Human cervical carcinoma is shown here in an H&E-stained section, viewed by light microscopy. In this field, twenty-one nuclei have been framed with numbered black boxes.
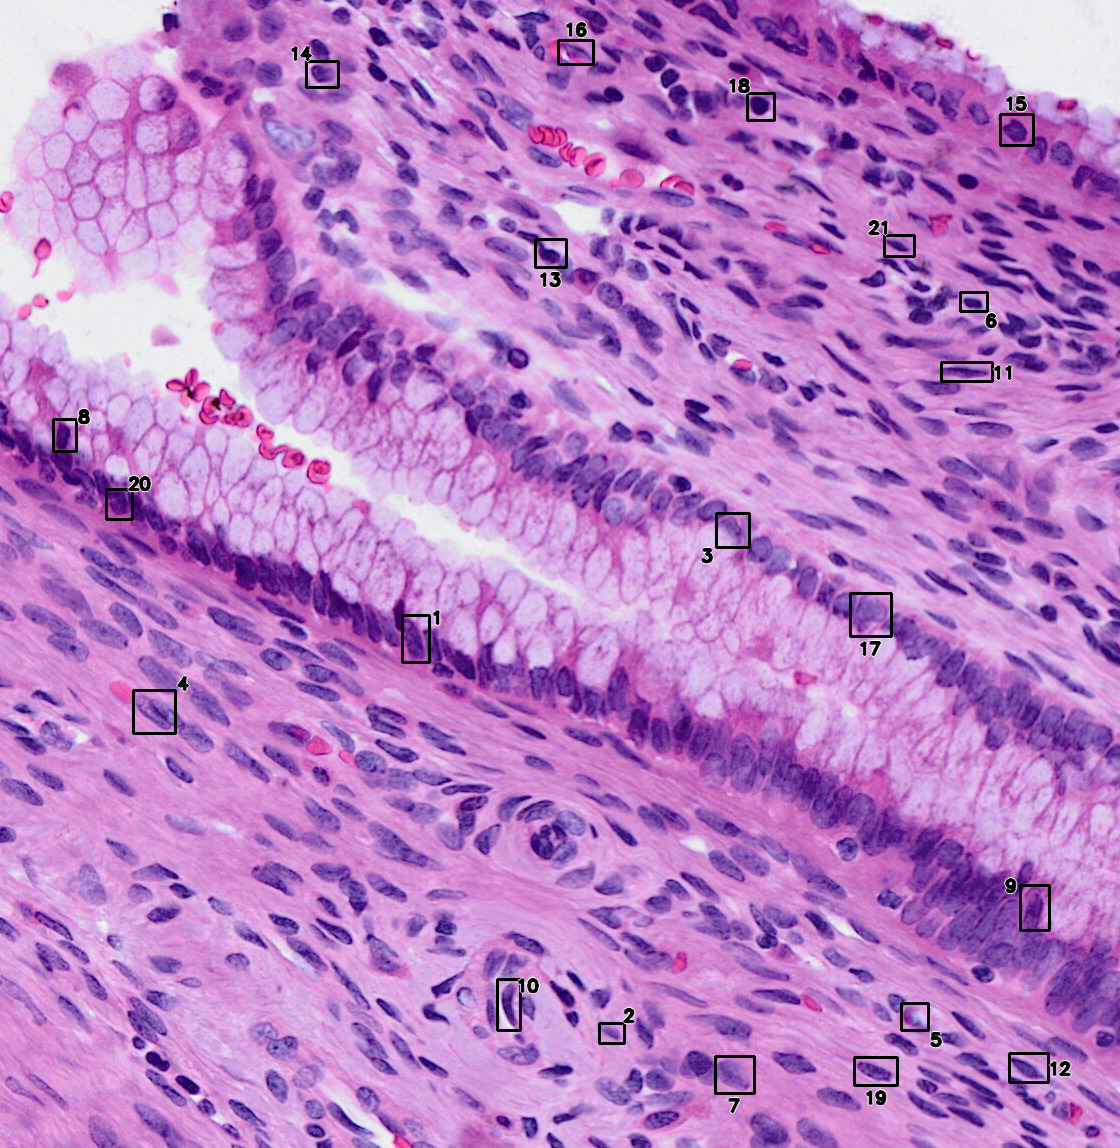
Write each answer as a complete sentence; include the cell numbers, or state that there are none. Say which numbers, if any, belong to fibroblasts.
Marked by the numbers 2, 6, 7, 11, 12, 19 and 21 are cells that are fibroblasts.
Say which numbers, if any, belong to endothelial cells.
The cells numbered 4, 5, 10 and 16 are typed as endothelial cells.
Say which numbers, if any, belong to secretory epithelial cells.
The cells numbered 1, 3, 8, 9, 15, 17 and 20 are, by type, secretory epithelial cells.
